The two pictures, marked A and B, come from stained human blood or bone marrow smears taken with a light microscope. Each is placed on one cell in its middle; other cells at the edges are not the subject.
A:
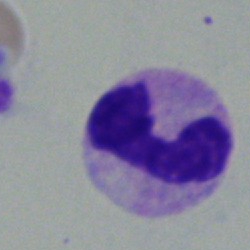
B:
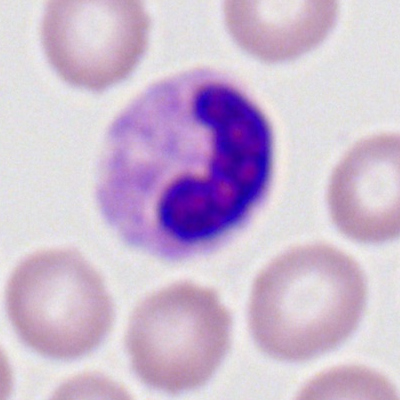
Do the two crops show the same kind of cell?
yes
